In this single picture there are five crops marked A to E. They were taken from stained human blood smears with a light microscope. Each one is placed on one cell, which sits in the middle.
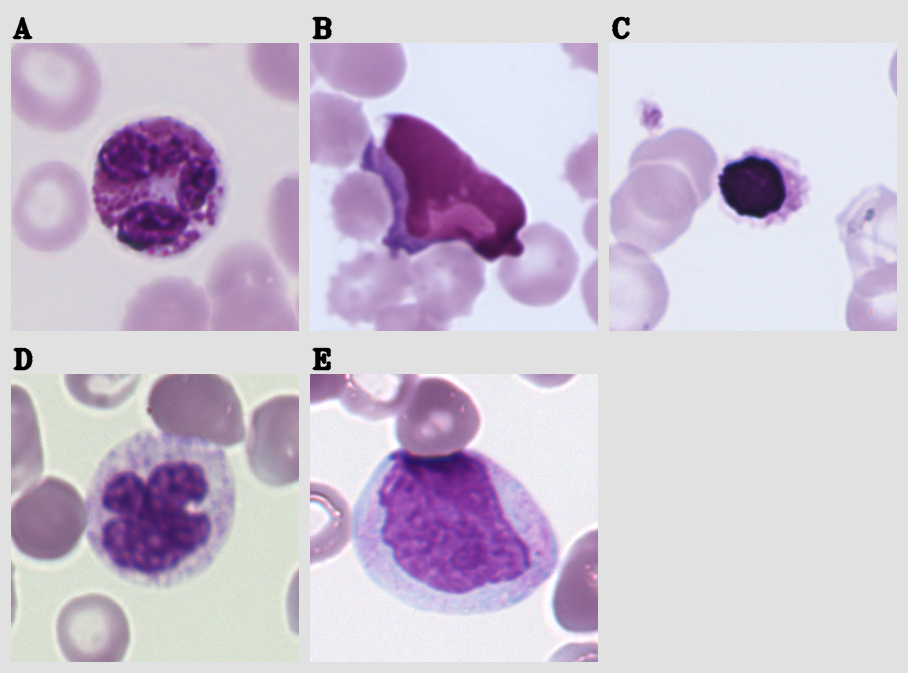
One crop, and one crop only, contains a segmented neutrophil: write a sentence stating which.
Within this set, crop D is the one with a segmented neutrophil at its center.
